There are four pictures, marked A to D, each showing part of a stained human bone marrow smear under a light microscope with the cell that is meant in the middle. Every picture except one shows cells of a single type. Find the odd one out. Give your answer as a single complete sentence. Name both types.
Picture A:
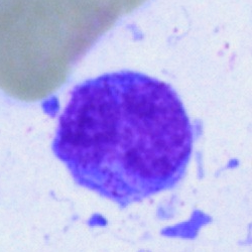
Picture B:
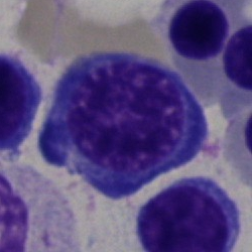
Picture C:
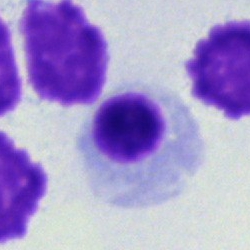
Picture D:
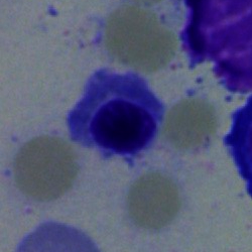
The different one is picture A; it shows a blast, whereas all the others show erythroblasts.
